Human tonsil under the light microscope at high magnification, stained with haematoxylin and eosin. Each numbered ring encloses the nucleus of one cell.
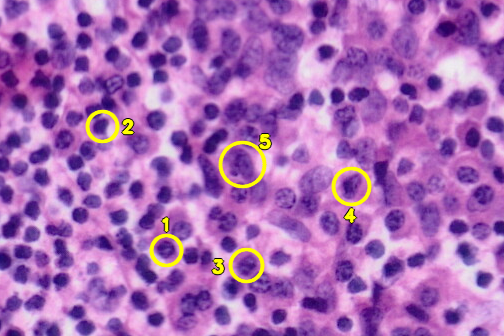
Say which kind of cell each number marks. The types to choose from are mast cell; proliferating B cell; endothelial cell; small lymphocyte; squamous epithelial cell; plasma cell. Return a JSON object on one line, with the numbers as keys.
{"1": "plasma cell", "2": "small lymphocyte", "3": "plasma cell", "4": "plasma cell", "5": "squamous epithelial cell"}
